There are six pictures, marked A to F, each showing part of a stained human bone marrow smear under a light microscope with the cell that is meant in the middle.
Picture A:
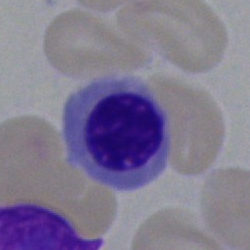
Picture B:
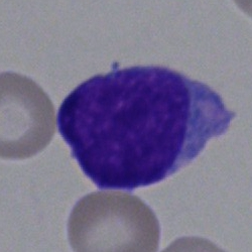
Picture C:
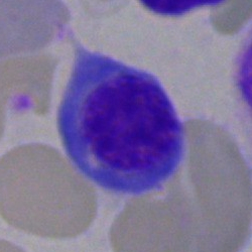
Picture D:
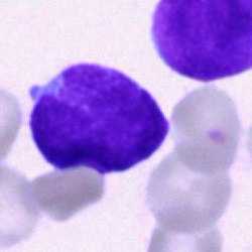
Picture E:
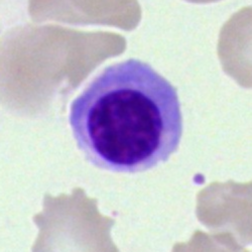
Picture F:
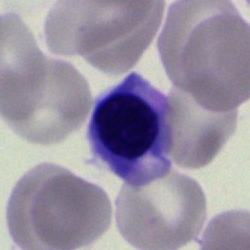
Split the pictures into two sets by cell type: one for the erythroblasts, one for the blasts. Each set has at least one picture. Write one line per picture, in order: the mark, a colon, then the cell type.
A: erythroblast
B: blast
C: erythroblast
D: blast
E: erythroblast
F: erythroblast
